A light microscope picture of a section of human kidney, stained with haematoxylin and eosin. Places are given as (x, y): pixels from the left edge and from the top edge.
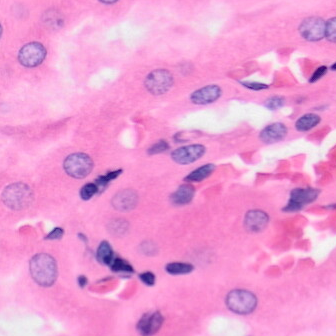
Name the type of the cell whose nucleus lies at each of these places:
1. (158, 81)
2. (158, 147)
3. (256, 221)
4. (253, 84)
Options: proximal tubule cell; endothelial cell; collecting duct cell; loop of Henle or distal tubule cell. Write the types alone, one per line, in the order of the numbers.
proximal tubule cell
collecting duct cell
proximal tubule cell
endothelial cell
